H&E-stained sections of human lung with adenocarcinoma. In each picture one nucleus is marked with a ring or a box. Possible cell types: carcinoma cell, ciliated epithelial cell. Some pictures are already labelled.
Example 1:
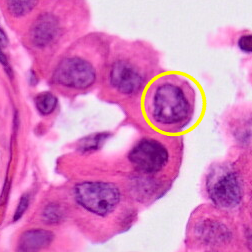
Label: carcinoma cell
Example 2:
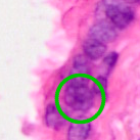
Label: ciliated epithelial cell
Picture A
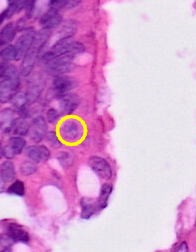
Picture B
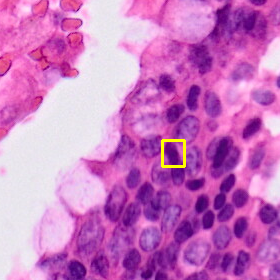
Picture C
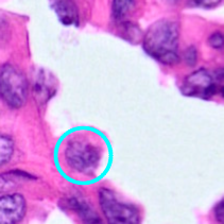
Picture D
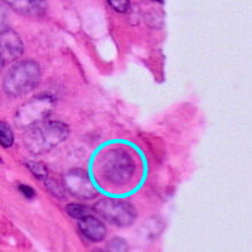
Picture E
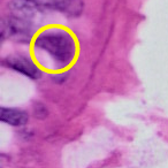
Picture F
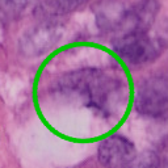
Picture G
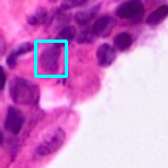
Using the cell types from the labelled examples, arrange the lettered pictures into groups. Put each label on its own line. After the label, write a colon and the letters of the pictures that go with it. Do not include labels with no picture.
carcinoma cell: C
ciliated epithelial cell: A, B, D, E, F, G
